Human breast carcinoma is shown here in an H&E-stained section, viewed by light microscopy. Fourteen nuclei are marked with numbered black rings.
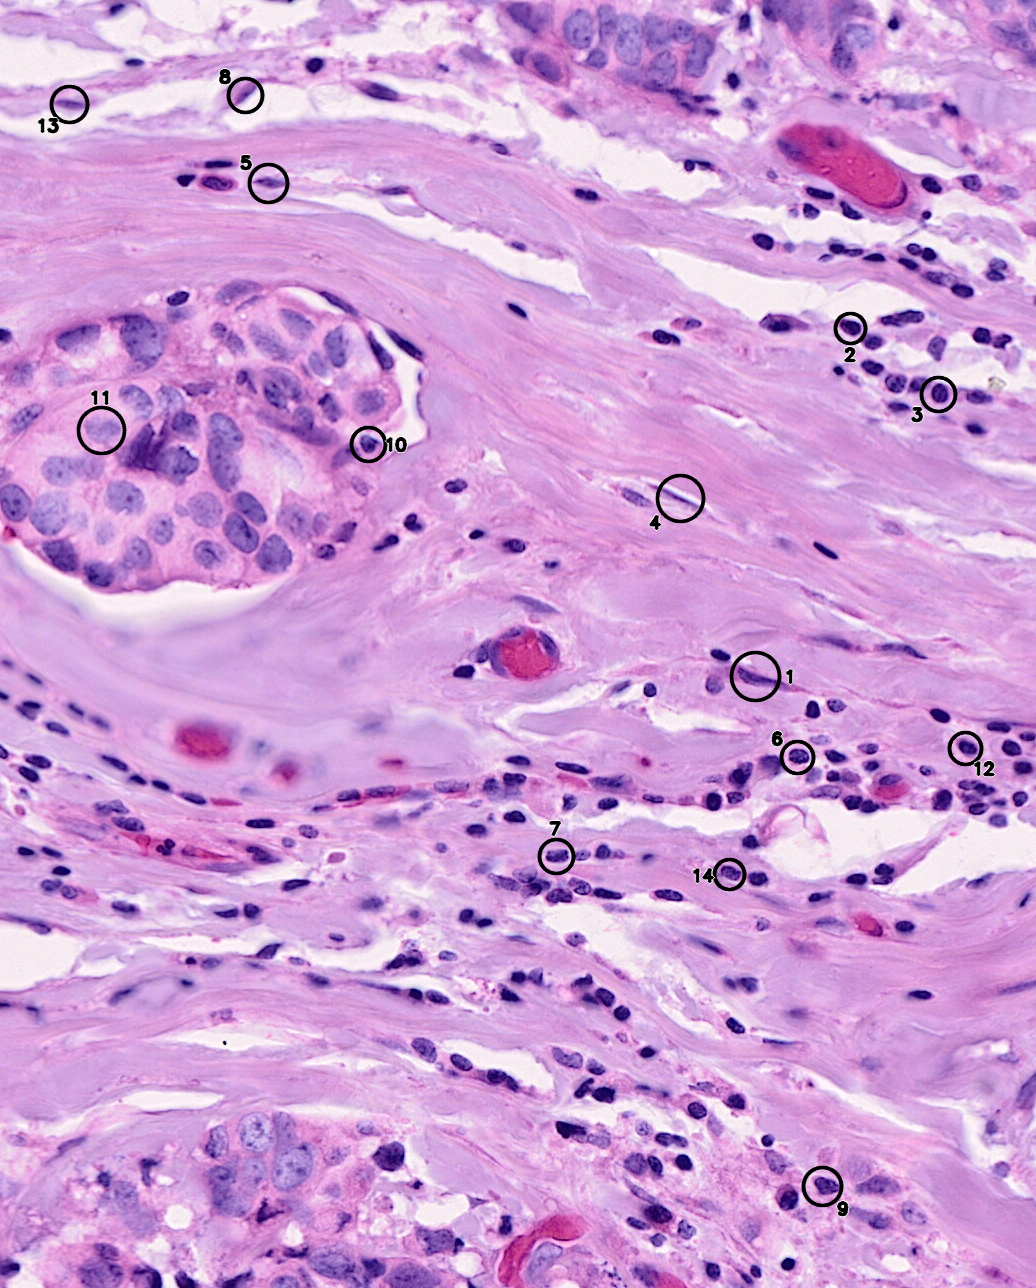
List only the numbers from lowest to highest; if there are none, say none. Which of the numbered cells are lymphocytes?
2, 3, 6, 7, 9, 10, 12, 14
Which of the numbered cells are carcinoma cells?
11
